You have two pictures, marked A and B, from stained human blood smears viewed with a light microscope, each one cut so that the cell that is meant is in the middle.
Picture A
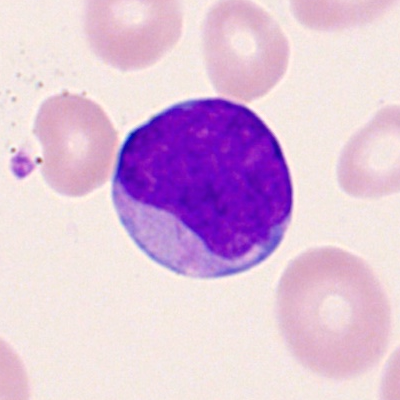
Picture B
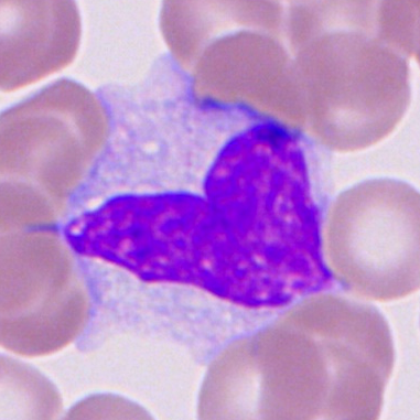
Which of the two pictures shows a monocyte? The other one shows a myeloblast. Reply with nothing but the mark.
B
